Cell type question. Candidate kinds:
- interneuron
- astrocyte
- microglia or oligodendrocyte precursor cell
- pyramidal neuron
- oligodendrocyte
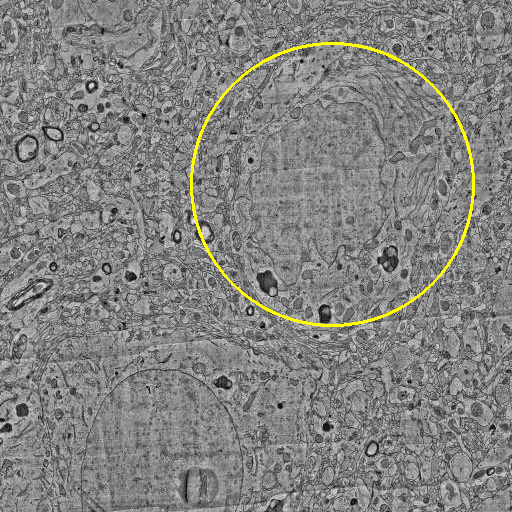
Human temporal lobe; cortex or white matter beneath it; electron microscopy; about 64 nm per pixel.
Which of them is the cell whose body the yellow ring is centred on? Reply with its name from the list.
interneuron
